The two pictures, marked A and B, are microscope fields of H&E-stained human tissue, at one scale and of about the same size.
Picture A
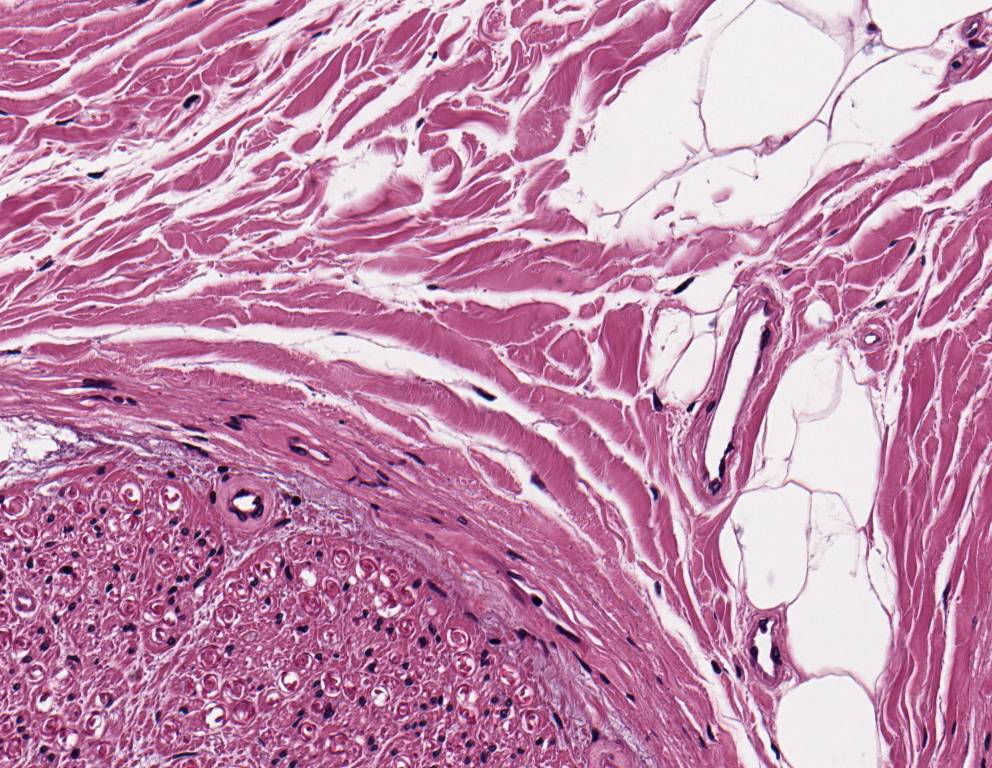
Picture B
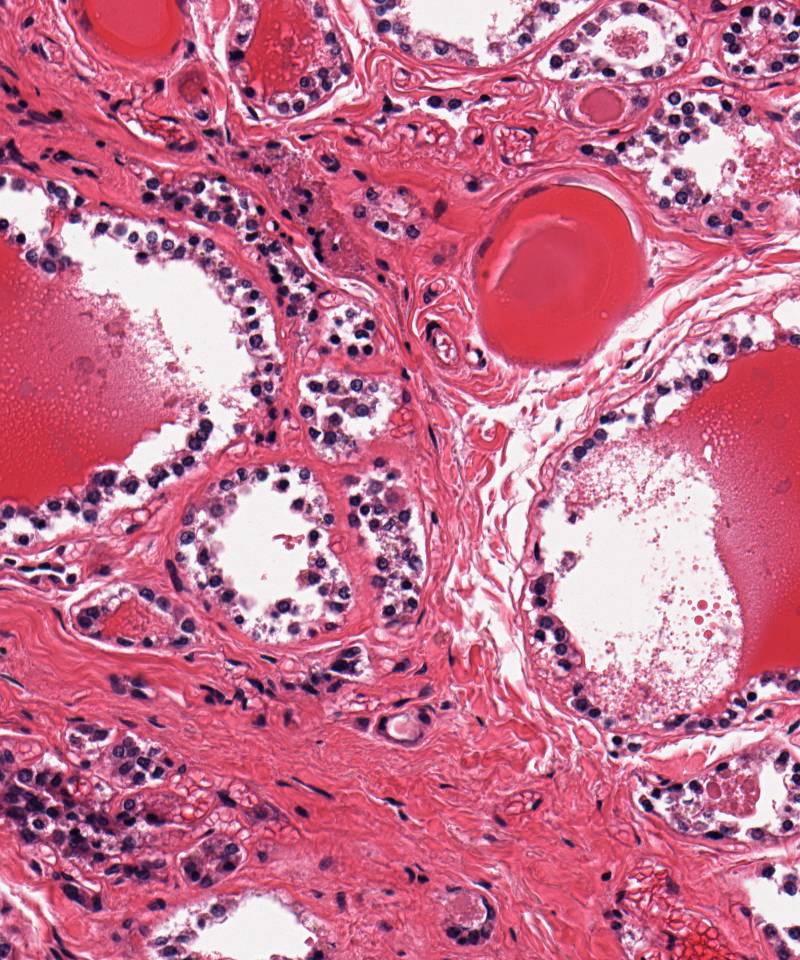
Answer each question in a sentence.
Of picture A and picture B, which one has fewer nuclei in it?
Fewer nuclei lie in picture A than in picture B.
